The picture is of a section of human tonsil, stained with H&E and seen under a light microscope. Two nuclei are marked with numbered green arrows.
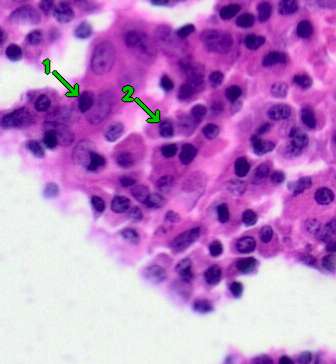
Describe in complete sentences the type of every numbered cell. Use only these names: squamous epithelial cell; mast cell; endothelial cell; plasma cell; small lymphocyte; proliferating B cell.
Cell 1 is a squamous epithelial cell. Cell 2 is a plasma cell.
